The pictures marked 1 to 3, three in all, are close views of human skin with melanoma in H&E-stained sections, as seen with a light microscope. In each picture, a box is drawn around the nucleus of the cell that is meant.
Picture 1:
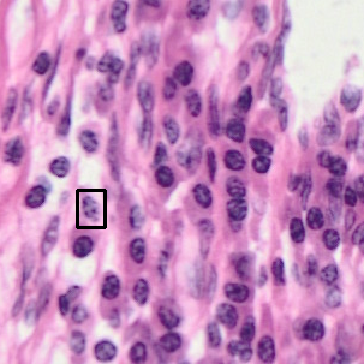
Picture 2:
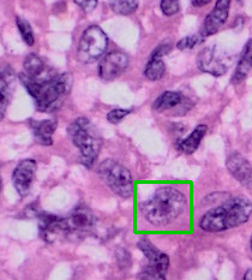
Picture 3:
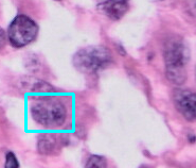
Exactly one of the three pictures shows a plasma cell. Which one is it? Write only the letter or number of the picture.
1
